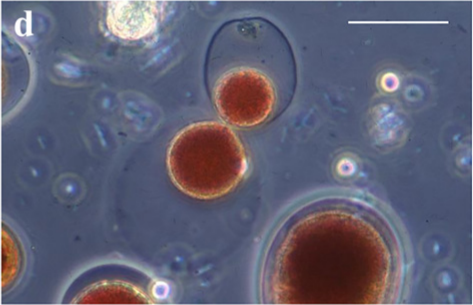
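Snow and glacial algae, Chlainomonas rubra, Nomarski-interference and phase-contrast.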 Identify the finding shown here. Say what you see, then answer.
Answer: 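External cell division. A second red cell lies inside that wall.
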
